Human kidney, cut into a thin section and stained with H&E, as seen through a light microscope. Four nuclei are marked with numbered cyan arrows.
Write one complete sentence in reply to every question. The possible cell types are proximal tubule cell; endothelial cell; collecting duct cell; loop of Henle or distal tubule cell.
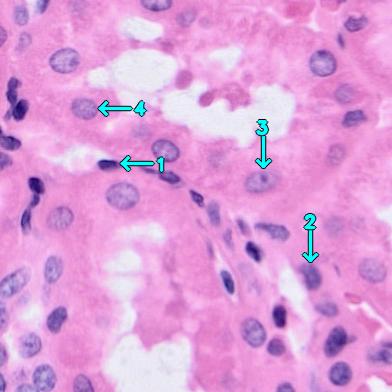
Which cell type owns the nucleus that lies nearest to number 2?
The nucleus nearest to number 2 is that of a collecting duct cell.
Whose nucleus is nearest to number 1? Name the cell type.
Closest to number 1 lies the nucleus of a proximal tubule cell.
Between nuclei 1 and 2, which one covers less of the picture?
The smaller nucleus is 1, and 2 covers roughly 2 times its area.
